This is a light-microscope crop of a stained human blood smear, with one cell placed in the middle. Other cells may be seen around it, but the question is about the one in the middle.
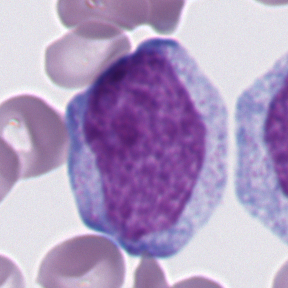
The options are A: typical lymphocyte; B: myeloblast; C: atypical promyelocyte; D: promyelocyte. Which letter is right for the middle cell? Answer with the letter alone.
D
